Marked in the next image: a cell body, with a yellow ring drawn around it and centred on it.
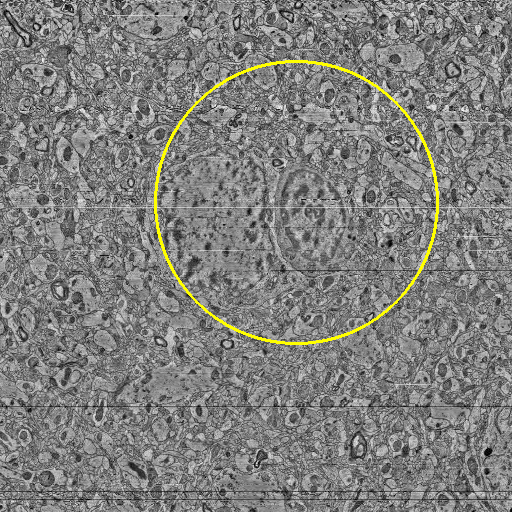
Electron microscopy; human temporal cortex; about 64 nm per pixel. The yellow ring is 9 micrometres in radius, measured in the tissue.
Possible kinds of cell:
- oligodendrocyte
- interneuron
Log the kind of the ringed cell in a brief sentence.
The ringed cell body is that of an oligodendrocyte.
